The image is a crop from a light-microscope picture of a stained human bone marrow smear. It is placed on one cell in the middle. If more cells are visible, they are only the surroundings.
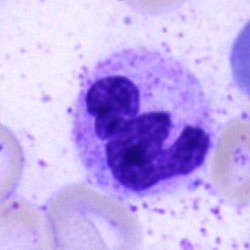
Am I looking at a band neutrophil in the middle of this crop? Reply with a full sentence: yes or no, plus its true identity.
No, the centre of the crop contains a segmented neutrophil rather than a band neutrophil.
